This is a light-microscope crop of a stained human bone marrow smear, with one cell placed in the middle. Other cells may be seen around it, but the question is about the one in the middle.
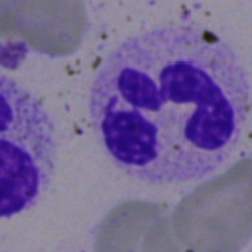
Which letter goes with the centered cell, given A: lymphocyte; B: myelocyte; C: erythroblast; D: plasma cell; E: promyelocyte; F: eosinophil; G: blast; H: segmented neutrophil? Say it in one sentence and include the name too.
The cell at the centre is a segmented neutrophil, and option H accordingly is correct.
